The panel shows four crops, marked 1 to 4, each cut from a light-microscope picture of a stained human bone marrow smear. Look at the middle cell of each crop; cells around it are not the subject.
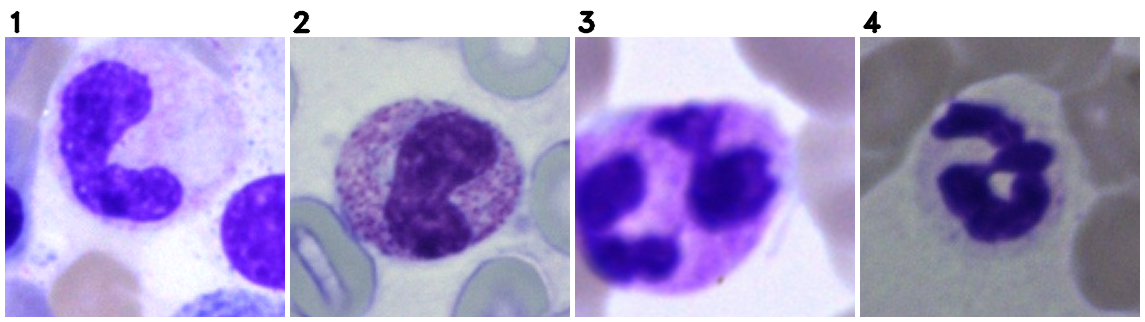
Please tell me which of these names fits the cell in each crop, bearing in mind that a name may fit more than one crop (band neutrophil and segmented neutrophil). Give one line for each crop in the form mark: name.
1: band neutrophil
2: band neutrophil
3: segmented neutrophil
4: segmented neutrophil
